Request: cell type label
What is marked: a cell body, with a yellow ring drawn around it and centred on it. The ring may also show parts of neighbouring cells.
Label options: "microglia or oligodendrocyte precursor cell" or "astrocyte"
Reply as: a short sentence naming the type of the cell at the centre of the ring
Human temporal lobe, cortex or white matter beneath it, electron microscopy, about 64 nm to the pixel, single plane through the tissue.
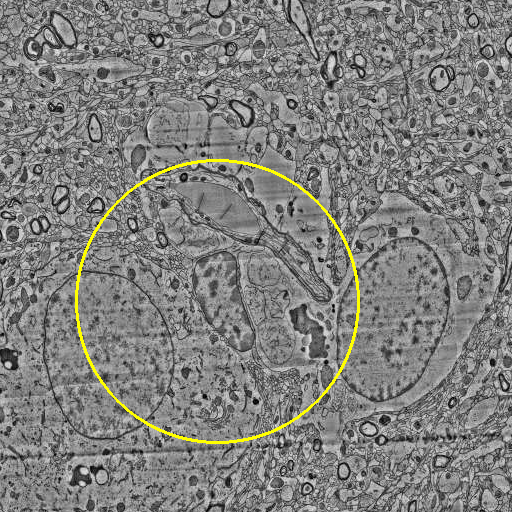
The marked cell body is that of a microglial cell or oligodendrocyte precursor cell.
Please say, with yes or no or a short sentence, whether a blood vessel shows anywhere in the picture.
Yes, one shows.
